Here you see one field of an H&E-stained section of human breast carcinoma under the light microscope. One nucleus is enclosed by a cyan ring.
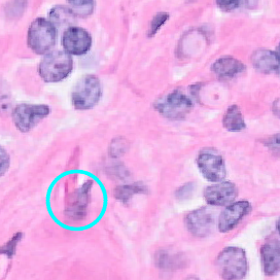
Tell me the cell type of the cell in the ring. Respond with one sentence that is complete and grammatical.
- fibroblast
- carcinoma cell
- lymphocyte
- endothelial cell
Placed in its cell category, the cell in the ring is an endothelial cell.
